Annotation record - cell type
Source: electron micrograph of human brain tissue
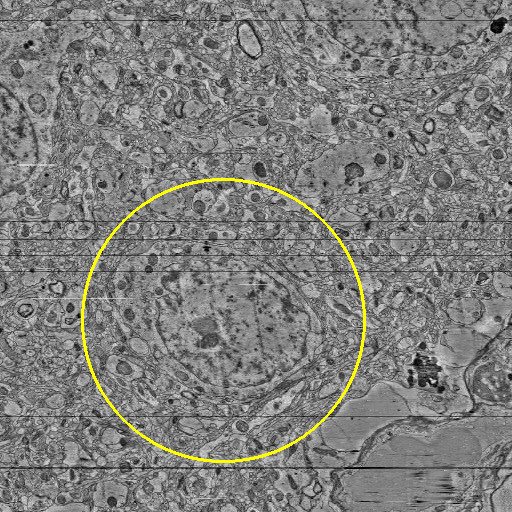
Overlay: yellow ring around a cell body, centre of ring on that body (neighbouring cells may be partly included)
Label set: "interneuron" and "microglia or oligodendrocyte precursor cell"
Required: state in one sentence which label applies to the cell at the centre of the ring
This cell should be labelled as an interneuron.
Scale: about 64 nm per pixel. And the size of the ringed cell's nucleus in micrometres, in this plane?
The ringed cell's nucleus is about 10 micrometres long and 8 micrometres wide in this plane.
